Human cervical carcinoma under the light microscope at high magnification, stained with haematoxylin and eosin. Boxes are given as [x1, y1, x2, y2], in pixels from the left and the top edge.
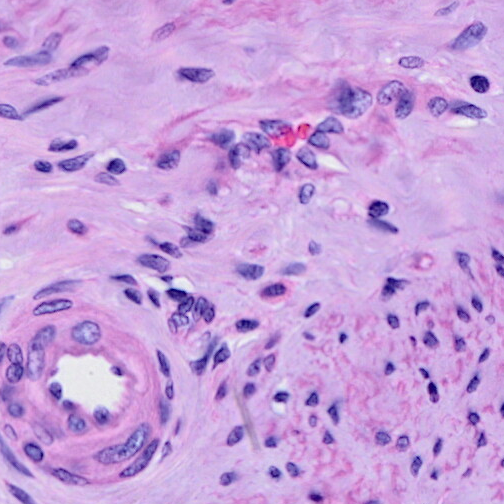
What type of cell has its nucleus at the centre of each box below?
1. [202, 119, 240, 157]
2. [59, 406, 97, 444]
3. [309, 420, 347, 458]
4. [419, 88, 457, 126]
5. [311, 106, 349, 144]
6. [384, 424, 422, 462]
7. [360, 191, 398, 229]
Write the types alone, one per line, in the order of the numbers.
endothelial cell
smooth muscle cell
smooth muscle cell
endothelial cell
endothelial cell
smooth muscle cell
lymphocyte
